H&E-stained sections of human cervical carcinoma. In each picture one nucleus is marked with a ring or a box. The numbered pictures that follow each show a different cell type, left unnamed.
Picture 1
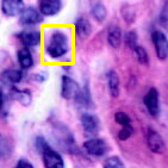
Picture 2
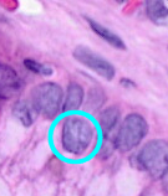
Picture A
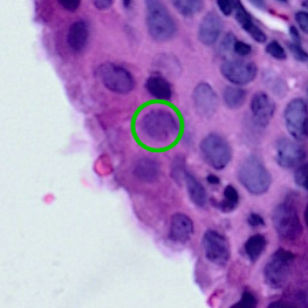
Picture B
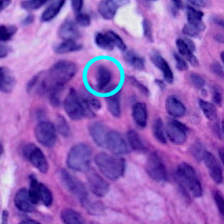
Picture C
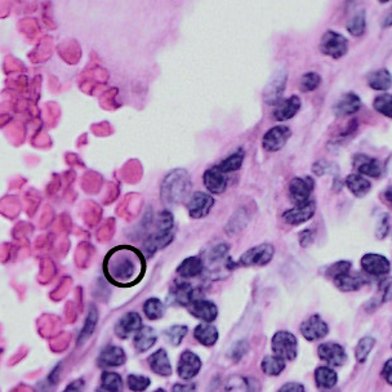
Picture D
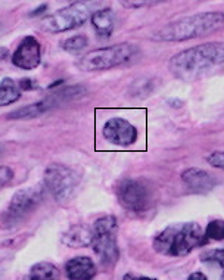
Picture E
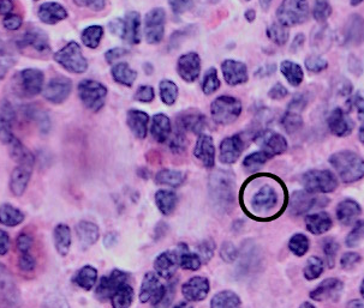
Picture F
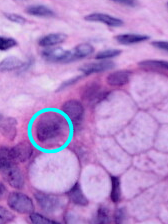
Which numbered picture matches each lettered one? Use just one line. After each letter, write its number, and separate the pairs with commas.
A 2, B 2, C 1, D 1, E 1, F 2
